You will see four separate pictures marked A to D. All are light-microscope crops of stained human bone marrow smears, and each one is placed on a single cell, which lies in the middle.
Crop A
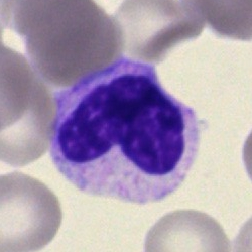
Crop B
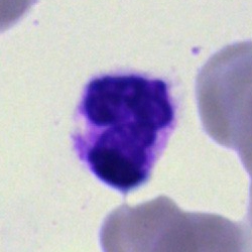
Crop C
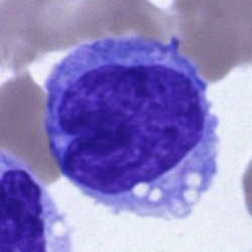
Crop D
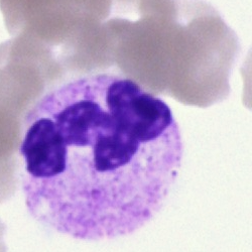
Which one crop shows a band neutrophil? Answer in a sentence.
It is crop B, not any other, that shows a band neutrophil.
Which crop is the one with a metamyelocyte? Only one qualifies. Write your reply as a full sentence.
The cell at the center of crop A is the one that is a metamyelocyte.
